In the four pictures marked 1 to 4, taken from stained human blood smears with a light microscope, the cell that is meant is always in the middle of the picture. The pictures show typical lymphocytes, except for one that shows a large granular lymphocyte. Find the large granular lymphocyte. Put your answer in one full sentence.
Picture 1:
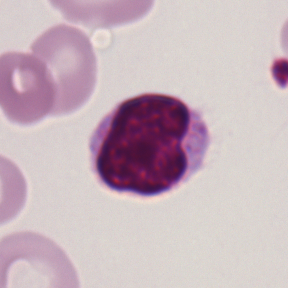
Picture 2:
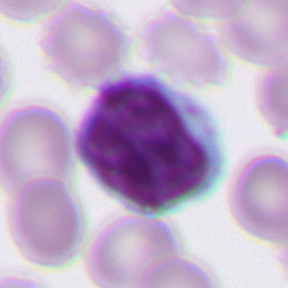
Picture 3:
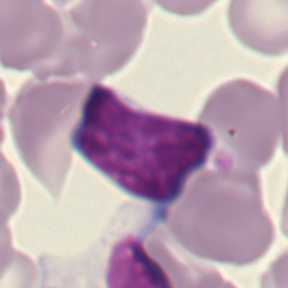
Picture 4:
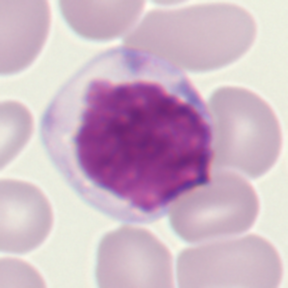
Picture 4 shows the large granular lymphocyte.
